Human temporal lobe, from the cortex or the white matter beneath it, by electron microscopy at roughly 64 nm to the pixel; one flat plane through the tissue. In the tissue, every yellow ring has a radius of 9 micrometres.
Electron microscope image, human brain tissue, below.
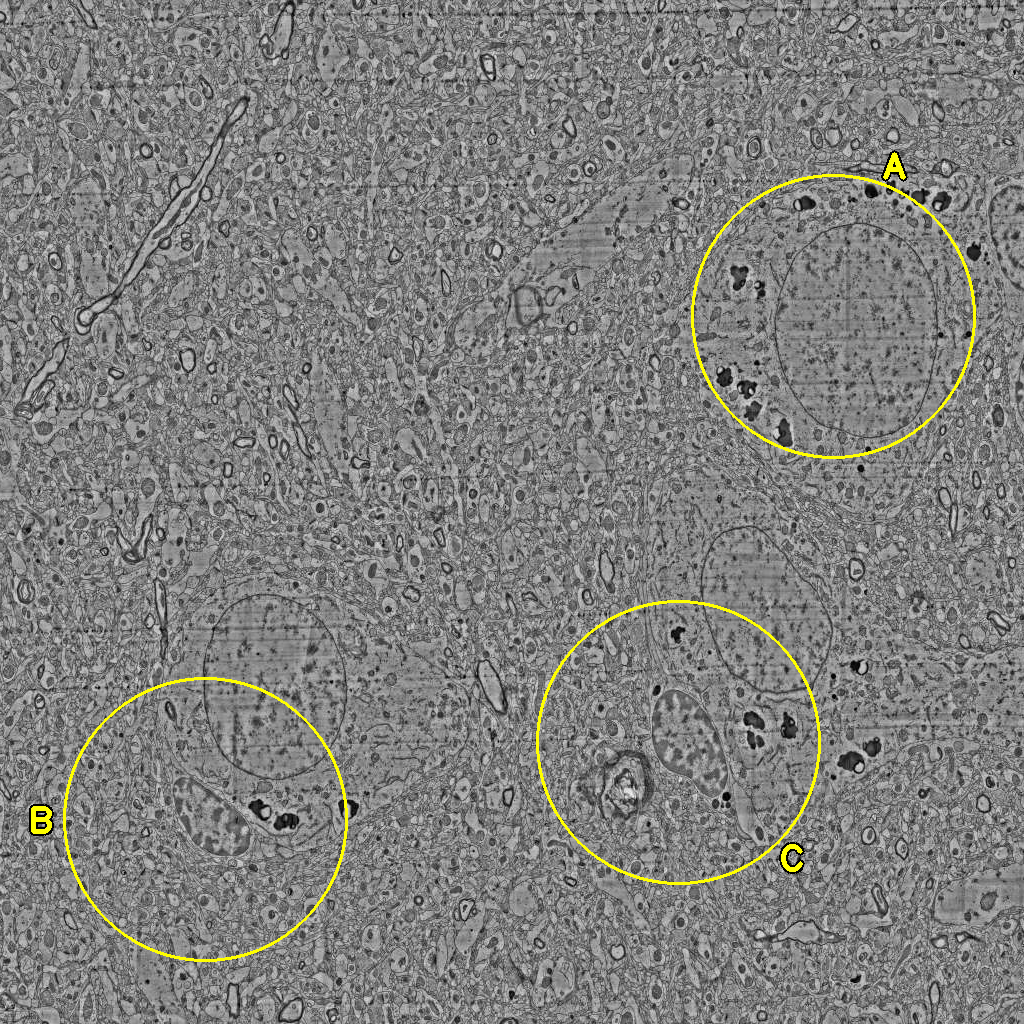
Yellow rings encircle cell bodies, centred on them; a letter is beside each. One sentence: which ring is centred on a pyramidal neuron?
It is ring A.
